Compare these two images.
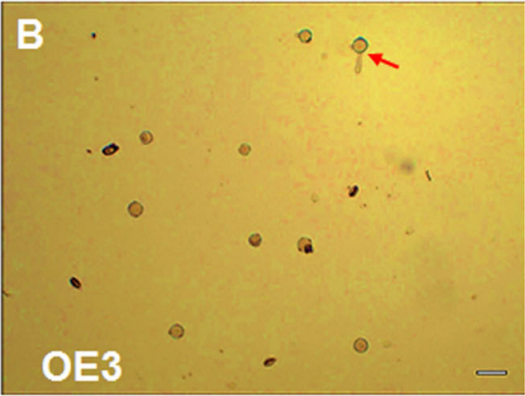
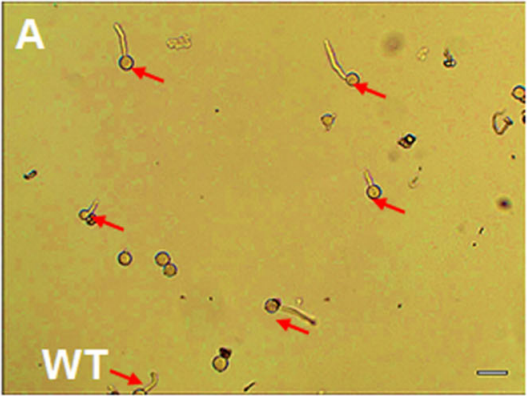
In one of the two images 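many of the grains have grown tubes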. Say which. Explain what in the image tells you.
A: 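First image: only one grain carries a short tube; the other round grains have none. Second image: several grains carry long slender tubes. That points to this answer: the second image.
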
